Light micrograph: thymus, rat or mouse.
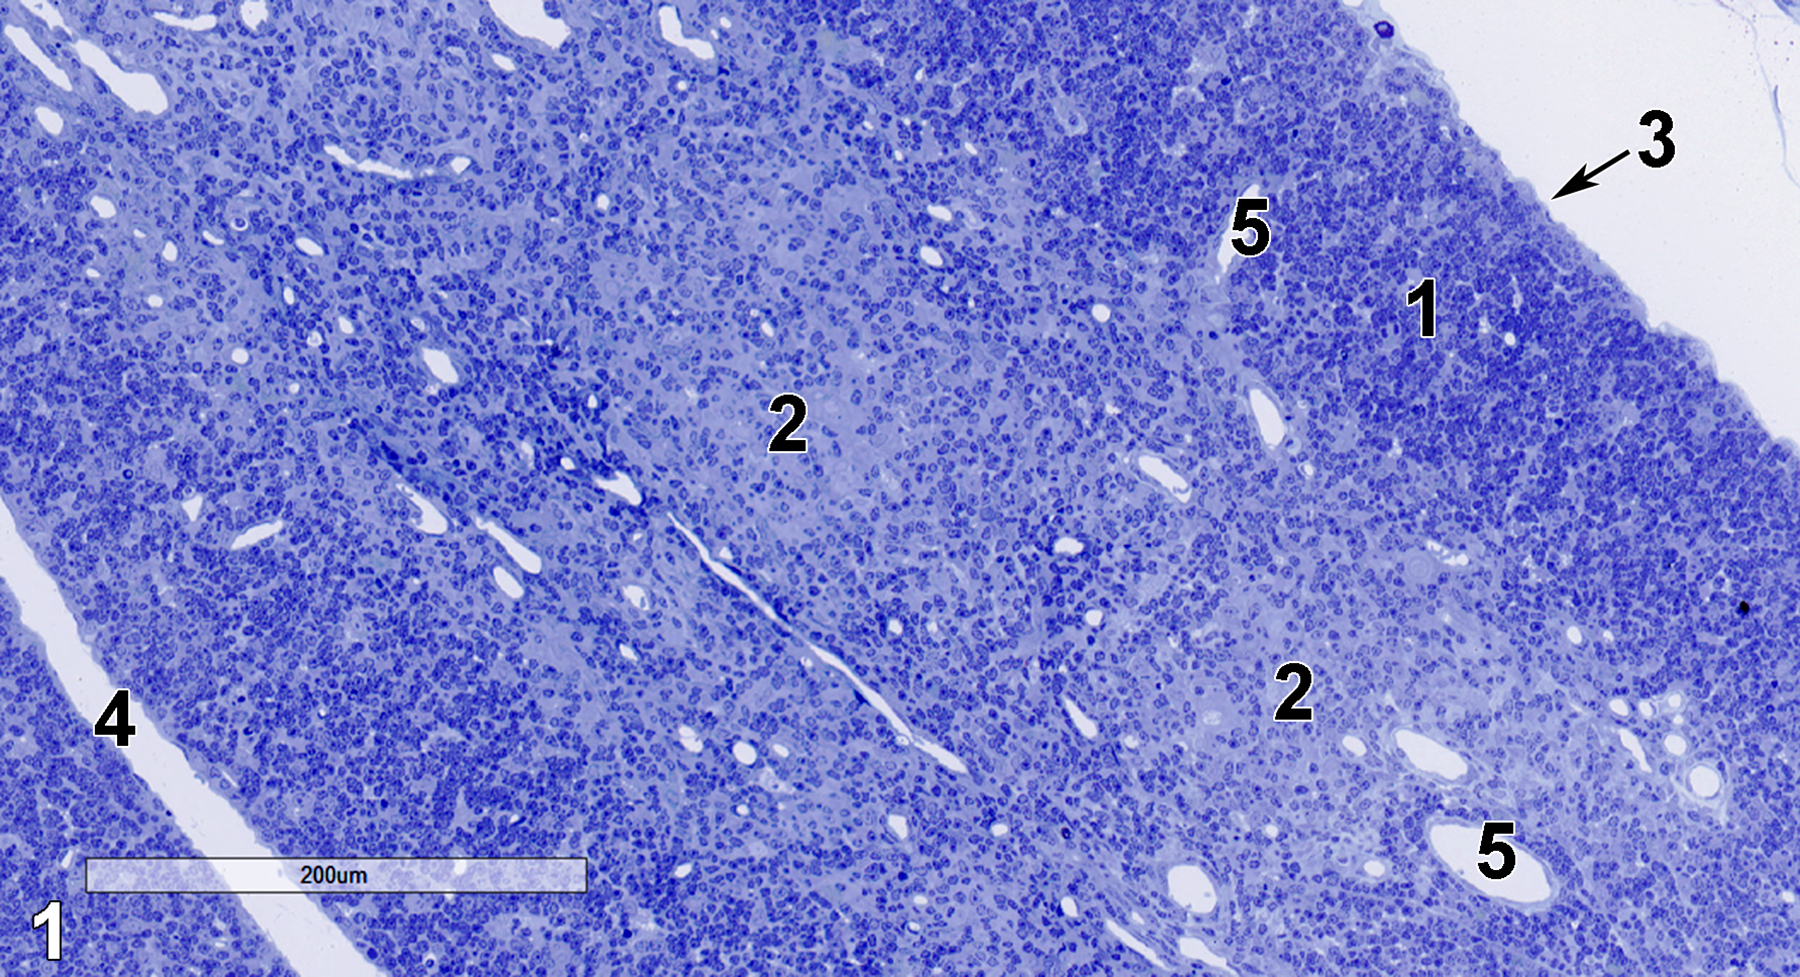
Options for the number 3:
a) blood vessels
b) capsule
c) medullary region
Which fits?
b) capsule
